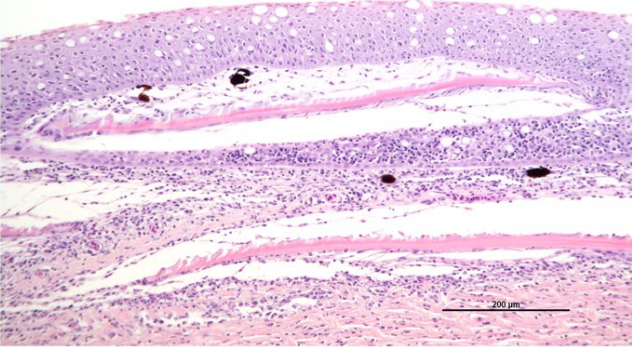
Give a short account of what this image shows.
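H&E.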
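An intact epidermis with many clear round cells forms the upper layer, and below it long, thin, bright pink scales lie in pale, open pockets. The loose stratum spongiosum around and especially just beneath the scales is filled with many small dark-nucleated infiltrating cells, and a few dark brown-black pigment clumps are scattered through it.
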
